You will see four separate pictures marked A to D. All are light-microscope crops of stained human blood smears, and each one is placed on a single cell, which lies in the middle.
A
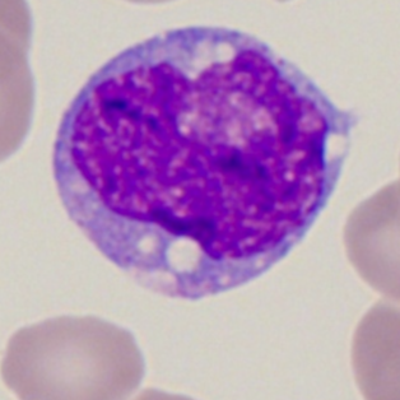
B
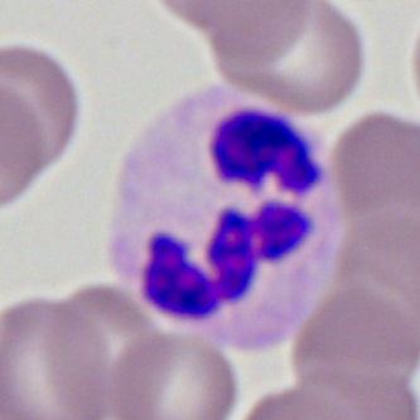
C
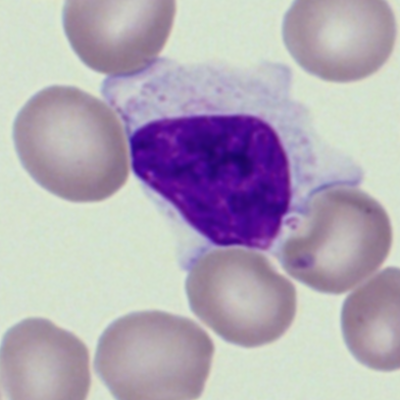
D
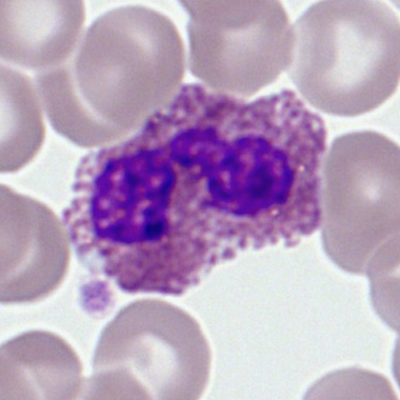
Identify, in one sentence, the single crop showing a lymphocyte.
Crop C, of the crops presented, is the one showing a lymphocyte.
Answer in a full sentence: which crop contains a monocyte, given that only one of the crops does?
Of these crops, it is crop A that shows a monocyte.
